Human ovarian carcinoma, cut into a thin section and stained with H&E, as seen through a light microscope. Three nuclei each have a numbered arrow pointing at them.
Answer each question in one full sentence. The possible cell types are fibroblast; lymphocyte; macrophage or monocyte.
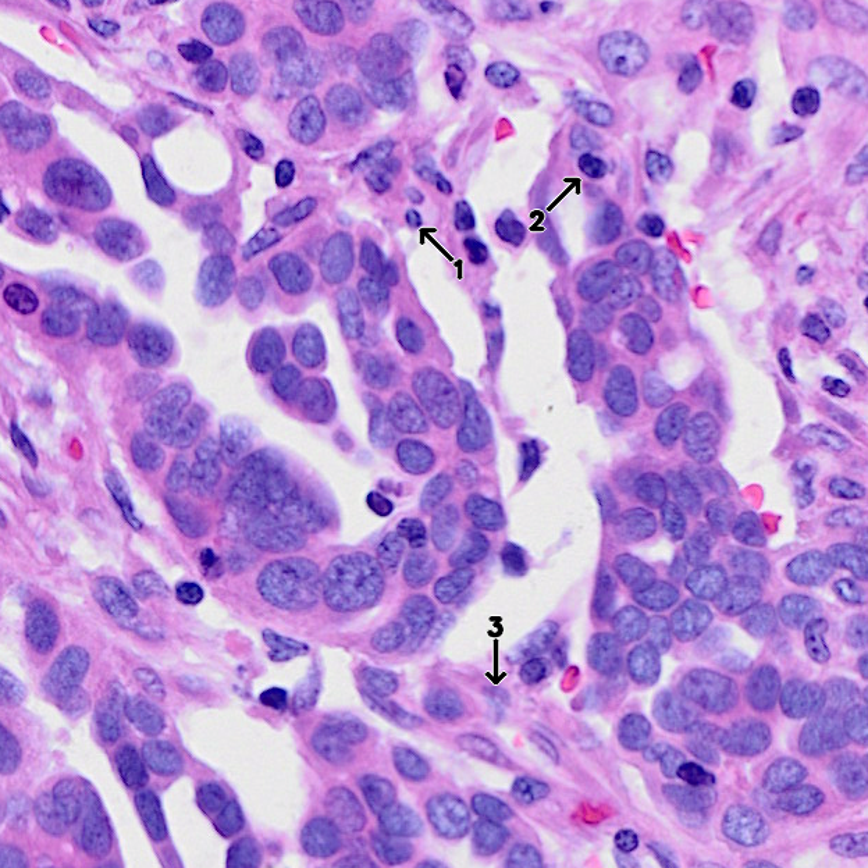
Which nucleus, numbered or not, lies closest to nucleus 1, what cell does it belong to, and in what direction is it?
The closest nucleus belongs to a macrophage or monocyte and sits above nucleus 1.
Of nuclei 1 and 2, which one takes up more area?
The larger nucleus is 2, at roughly 2.5 times the area of 1.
